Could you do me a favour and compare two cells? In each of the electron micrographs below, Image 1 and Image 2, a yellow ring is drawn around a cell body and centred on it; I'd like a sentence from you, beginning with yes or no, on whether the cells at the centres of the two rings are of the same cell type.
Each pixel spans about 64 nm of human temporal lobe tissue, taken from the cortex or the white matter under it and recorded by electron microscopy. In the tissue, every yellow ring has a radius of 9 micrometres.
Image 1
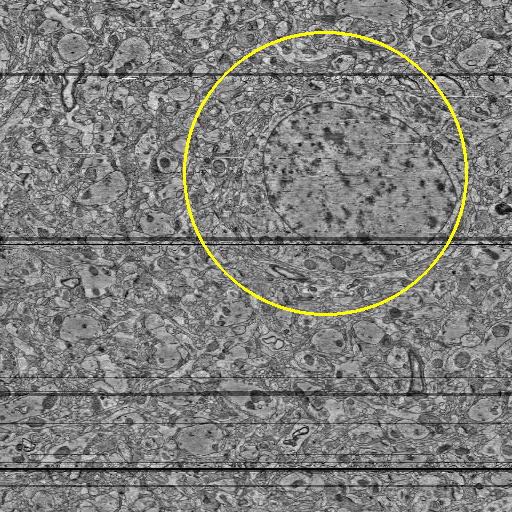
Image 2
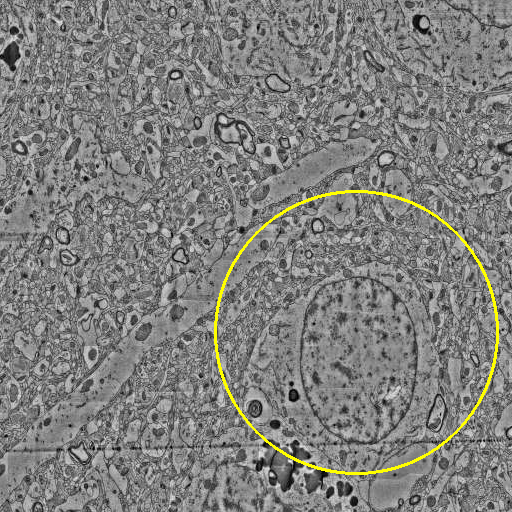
Yes, the two cells are of the same cell type.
